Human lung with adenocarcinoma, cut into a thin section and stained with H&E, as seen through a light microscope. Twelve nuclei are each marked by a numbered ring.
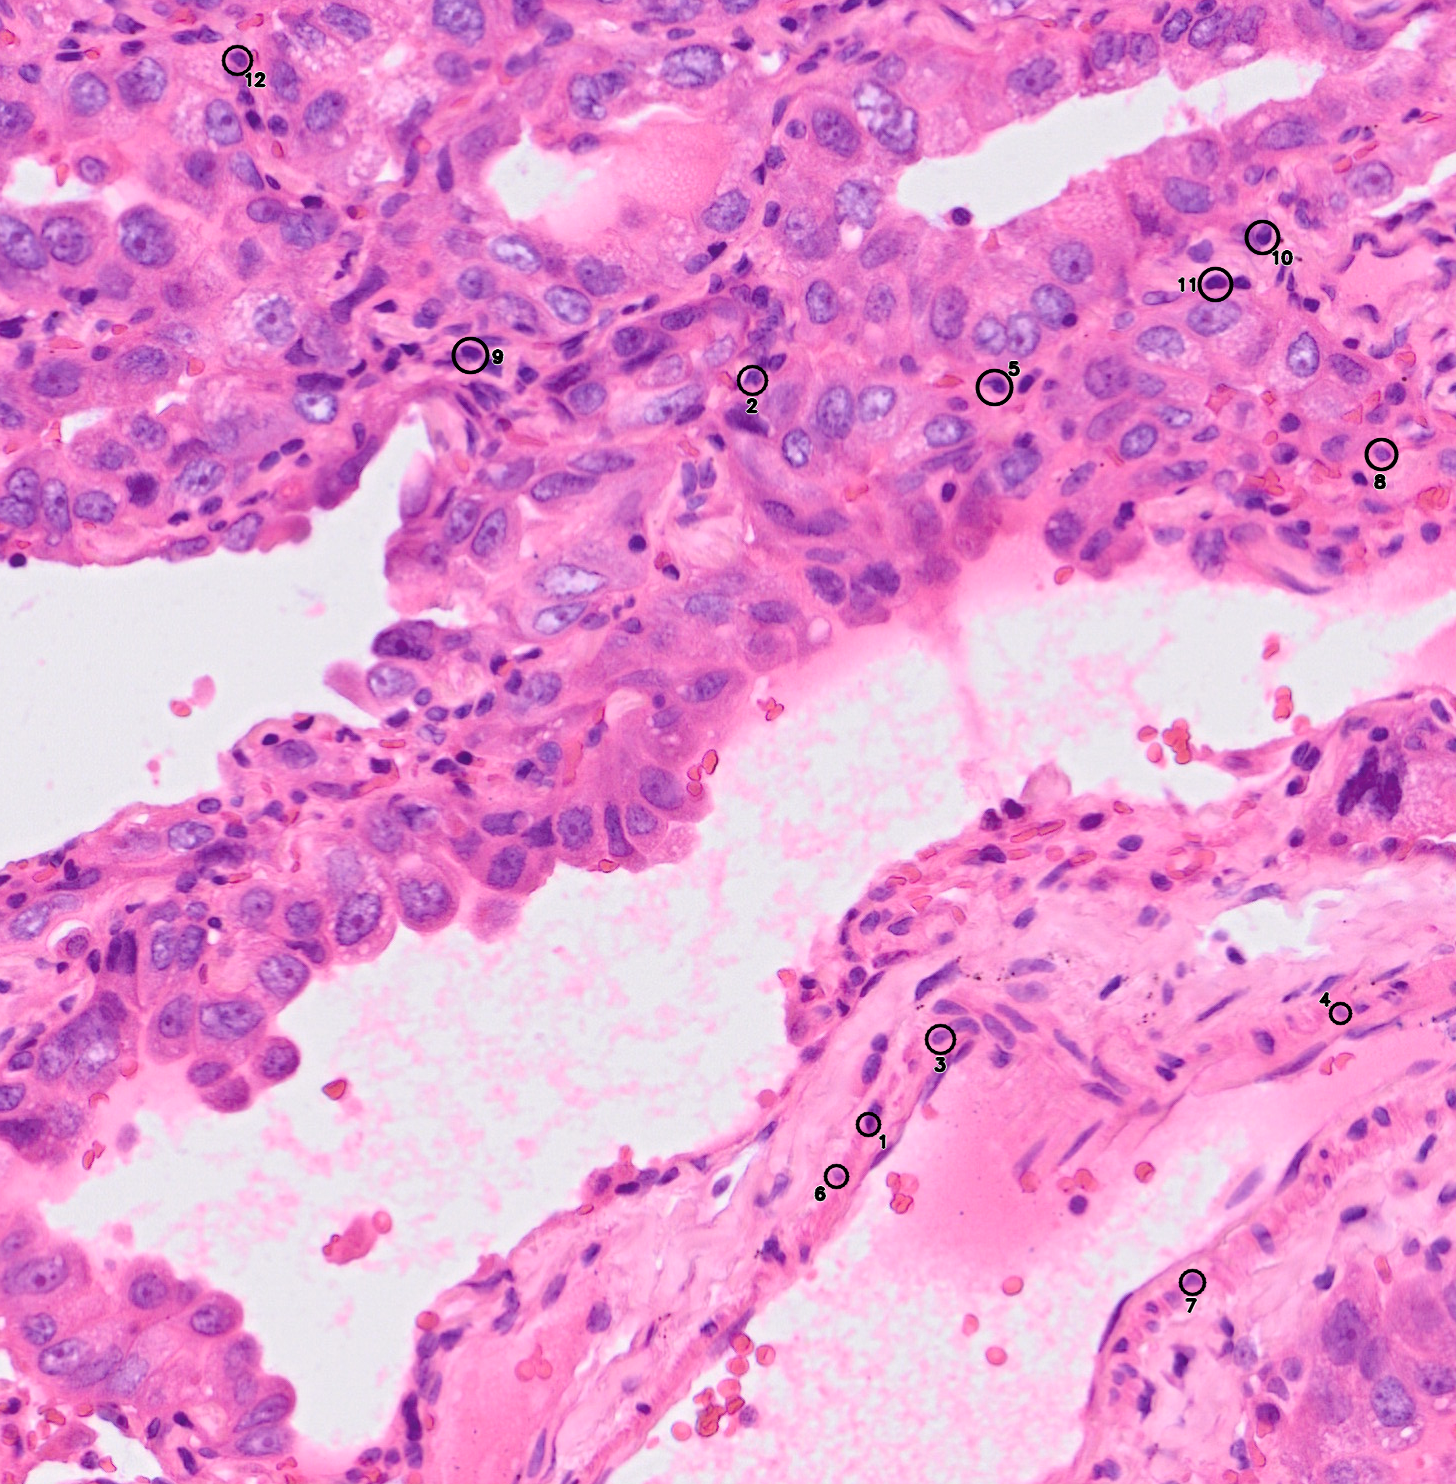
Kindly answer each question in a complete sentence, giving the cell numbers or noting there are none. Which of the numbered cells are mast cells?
Among the marked cells, a mast cell is found only at number 8.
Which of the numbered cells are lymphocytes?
The cells that bear the numbers 2, 5, 9, 10, 11 and 12 are lymphocytes.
